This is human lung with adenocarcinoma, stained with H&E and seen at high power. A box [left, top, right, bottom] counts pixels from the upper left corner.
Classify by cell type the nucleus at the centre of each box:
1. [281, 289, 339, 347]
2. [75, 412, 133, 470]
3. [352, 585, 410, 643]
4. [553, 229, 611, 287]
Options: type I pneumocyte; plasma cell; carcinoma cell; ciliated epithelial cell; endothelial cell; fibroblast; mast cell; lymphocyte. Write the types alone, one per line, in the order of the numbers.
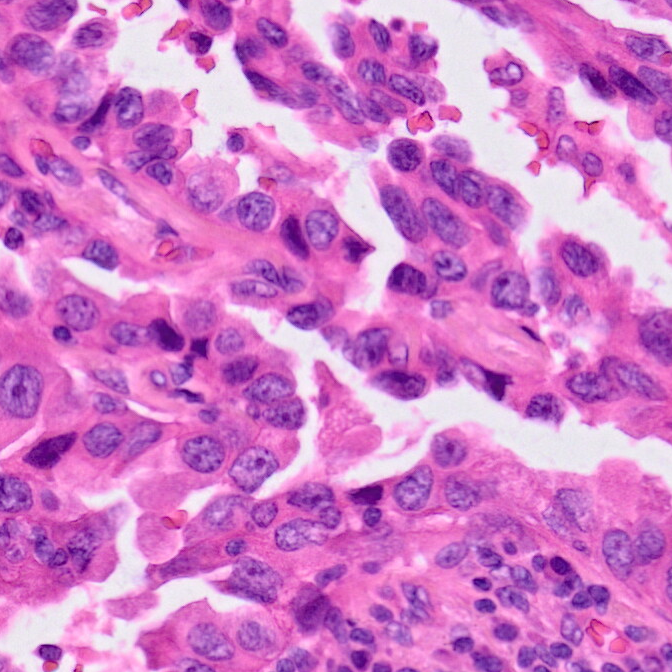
carcinoma cell
carcinoma cell
lymphocyte
carcinoma cell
